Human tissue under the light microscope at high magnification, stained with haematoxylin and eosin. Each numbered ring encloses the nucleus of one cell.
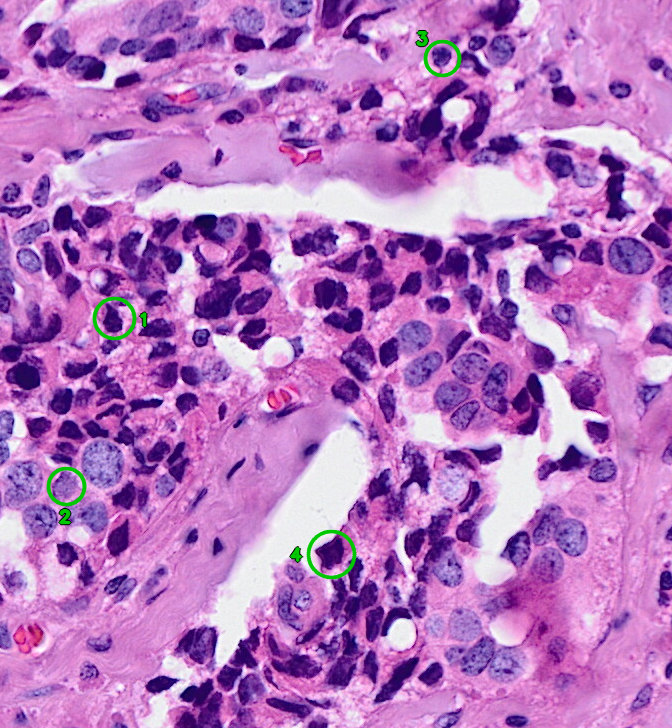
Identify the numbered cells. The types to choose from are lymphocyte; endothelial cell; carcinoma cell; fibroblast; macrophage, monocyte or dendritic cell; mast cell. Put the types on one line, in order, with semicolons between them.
carcinoma cell; carcinoma cell; lymphocyte; carcinoma cell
